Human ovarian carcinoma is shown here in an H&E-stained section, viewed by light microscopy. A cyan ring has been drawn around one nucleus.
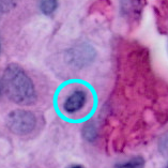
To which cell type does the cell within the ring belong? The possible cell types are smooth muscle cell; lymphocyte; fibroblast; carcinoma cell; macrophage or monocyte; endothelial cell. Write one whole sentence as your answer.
In this preparation, the cell within the ring is a lymphocyte.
